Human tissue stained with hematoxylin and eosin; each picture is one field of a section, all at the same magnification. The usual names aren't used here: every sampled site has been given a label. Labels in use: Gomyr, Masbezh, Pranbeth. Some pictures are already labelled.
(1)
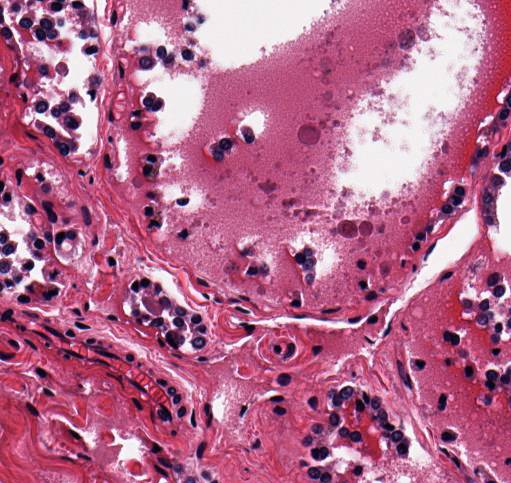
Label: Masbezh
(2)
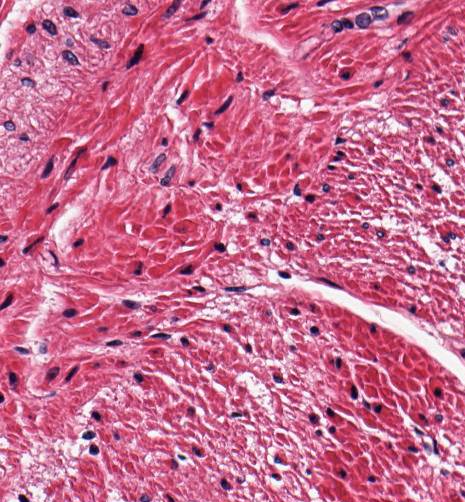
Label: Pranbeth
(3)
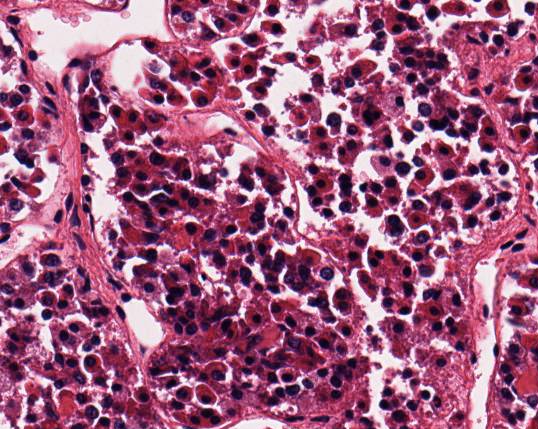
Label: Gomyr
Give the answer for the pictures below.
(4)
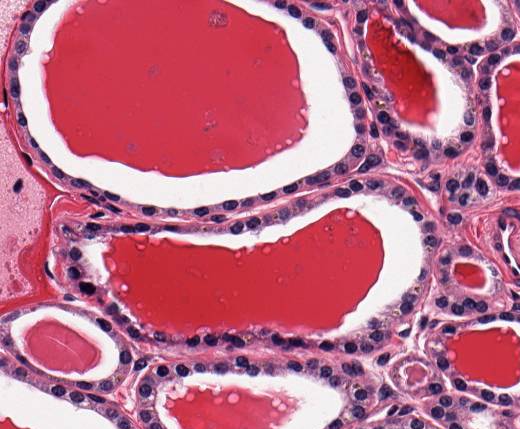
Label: Masbezh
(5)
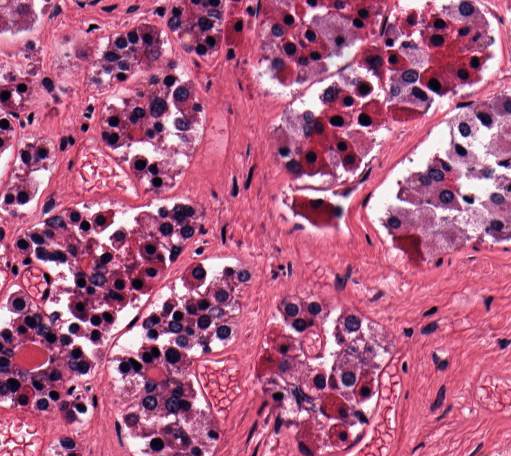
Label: Gomyr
